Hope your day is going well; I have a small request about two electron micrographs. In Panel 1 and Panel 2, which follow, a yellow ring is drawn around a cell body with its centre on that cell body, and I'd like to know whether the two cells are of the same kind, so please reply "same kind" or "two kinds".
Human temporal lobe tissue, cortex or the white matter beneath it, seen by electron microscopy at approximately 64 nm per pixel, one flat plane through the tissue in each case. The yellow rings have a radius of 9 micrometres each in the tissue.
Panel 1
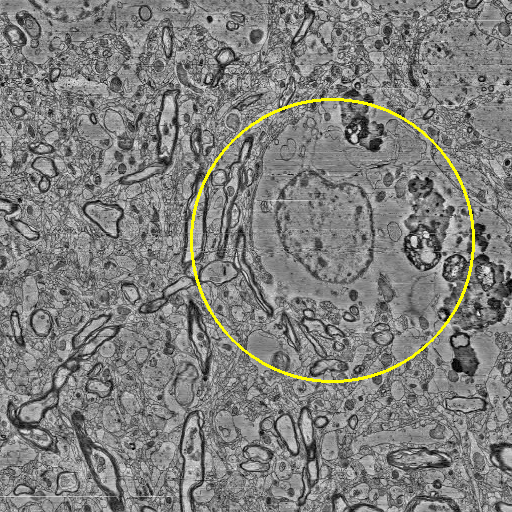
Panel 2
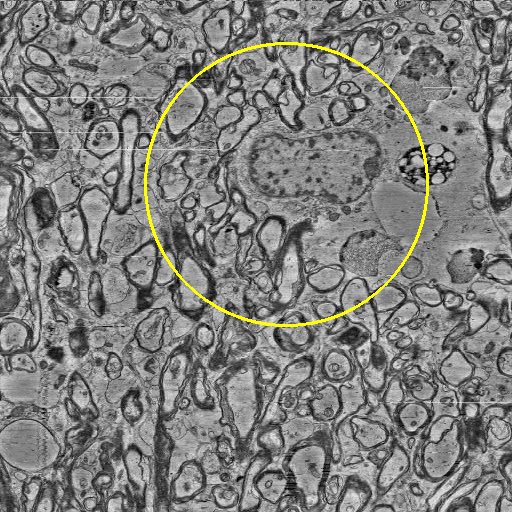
same kind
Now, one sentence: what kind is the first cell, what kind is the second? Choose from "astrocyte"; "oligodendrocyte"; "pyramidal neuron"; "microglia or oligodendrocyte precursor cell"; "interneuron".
Both pictures show an astrocyte at the centre of the ring.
